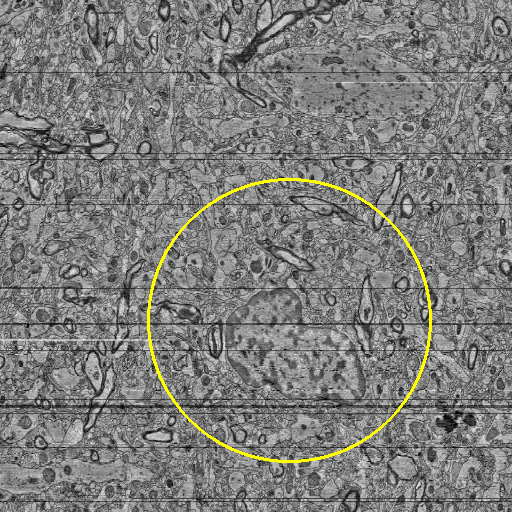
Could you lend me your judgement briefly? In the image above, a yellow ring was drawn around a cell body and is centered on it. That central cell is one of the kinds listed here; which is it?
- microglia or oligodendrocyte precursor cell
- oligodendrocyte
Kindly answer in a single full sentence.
Going by the list, a microglial cell or oligodendrocyte precursor cell is the kind at the ring's center in the picture.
